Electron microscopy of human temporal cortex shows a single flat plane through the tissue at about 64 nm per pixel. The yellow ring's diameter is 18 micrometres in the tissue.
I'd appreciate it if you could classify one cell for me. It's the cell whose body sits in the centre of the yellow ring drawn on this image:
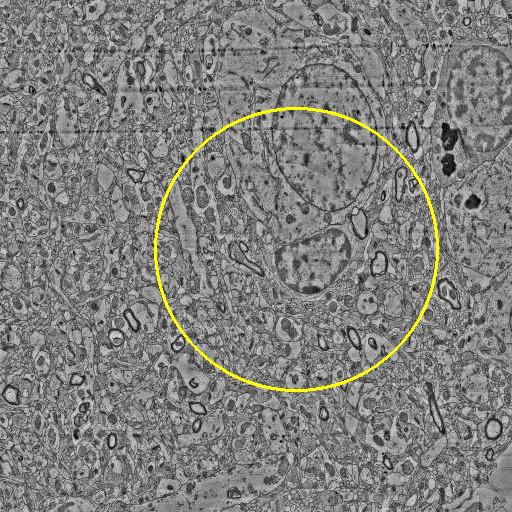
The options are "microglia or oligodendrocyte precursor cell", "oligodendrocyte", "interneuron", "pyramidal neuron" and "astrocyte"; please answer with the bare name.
microglia or oligodendrocyte precursor cell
